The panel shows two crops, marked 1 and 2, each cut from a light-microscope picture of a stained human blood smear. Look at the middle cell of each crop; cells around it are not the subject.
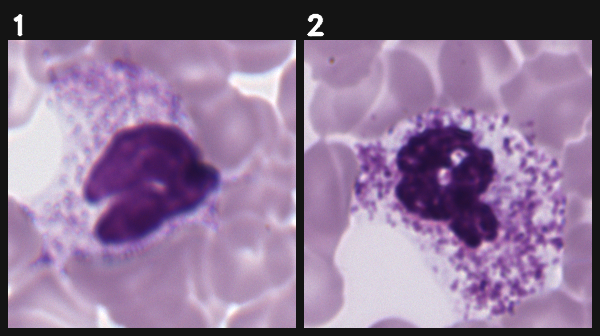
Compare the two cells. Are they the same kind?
yes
